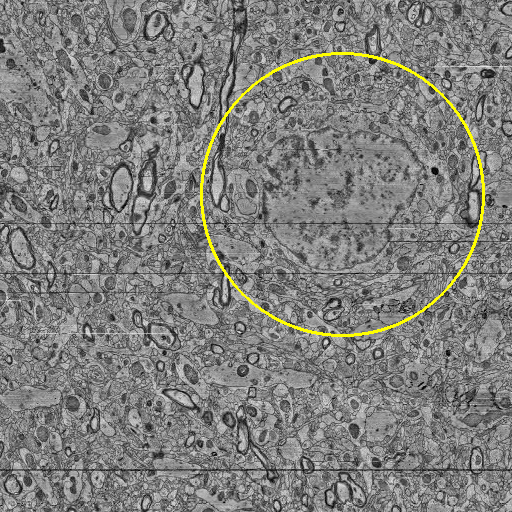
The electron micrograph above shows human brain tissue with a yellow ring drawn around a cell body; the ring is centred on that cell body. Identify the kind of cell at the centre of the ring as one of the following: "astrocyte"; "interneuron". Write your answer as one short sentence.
The cell at the centre of the ring is an interneuron.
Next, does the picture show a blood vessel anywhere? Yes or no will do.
No, none shows.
